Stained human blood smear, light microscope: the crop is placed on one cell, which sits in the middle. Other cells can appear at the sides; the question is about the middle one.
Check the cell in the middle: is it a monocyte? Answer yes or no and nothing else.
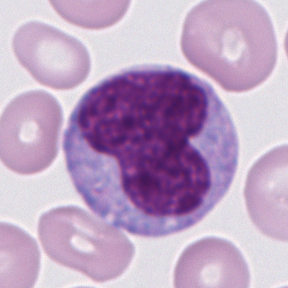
yes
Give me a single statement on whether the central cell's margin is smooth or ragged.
If you check the edge, you will find it smooth without projections.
